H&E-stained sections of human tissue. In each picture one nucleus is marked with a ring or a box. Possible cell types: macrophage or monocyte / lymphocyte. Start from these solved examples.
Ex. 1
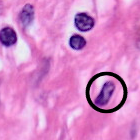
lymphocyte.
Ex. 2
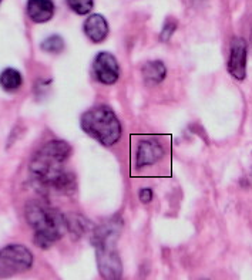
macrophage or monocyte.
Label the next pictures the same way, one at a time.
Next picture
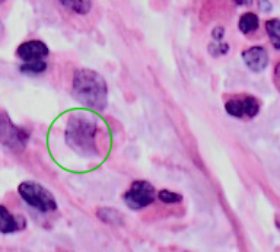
macrophage or monocyte.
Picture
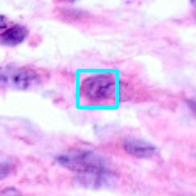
macrophage or monocyte.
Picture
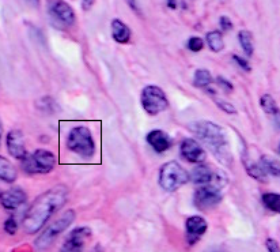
lymphocyte.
